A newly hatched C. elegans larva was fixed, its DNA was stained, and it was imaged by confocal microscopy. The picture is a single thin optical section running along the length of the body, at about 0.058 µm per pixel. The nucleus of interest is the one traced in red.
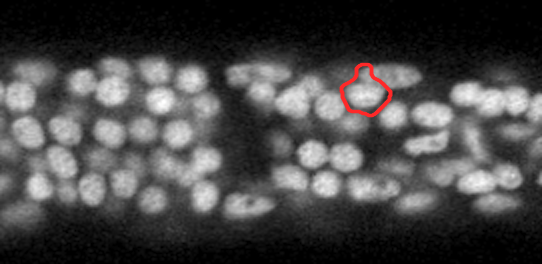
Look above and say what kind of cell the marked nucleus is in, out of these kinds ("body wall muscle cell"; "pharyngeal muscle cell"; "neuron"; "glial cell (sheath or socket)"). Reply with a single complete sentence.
It is the nucleus of a glial cell (sheath or socket).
